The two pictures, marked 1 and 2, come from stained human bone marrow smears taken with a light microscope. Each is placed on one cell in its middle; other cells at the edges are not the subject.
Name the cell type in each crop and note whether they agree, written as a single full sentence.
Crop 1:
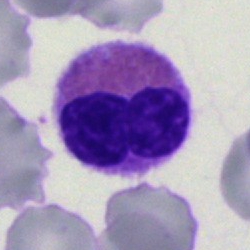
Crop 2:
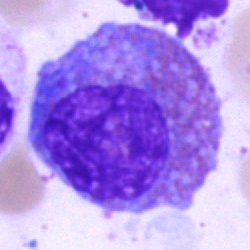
Yes, with regard to both crops, the central cells are eosinophils.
